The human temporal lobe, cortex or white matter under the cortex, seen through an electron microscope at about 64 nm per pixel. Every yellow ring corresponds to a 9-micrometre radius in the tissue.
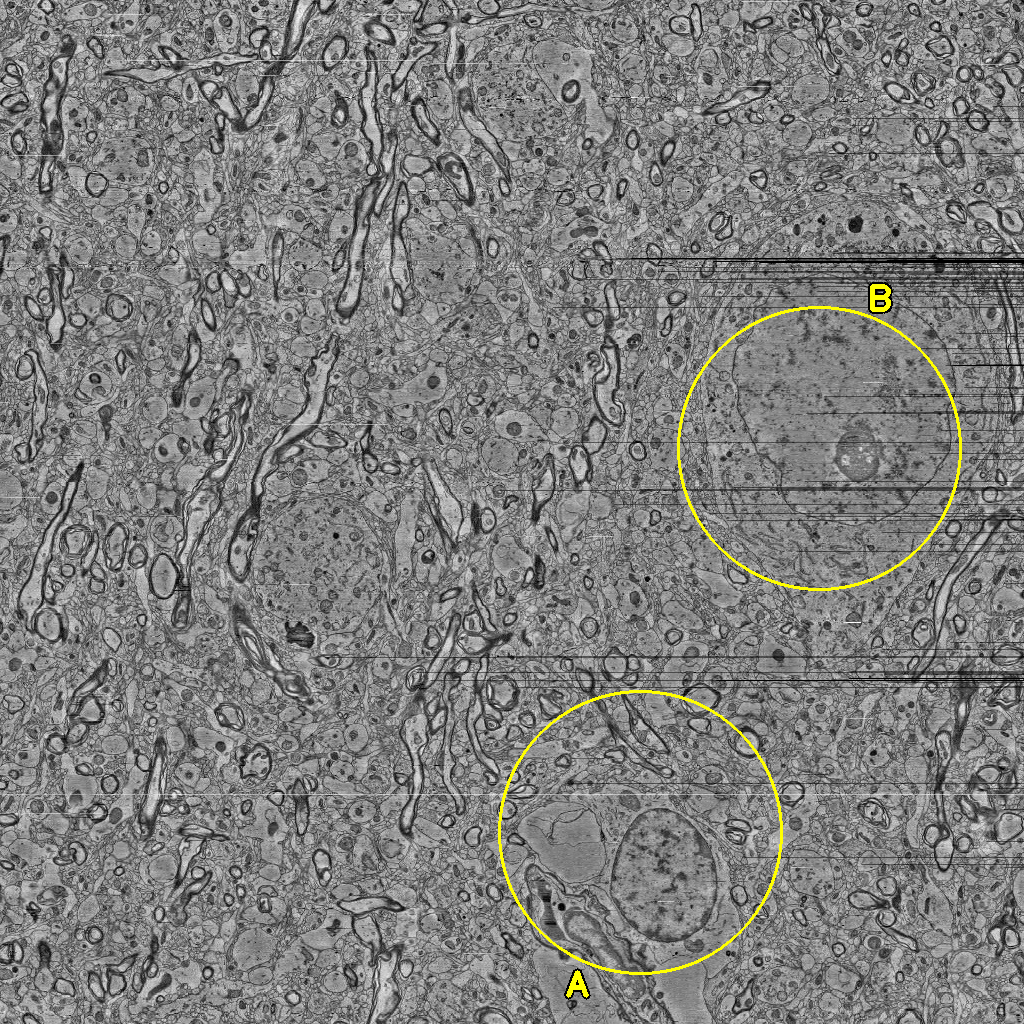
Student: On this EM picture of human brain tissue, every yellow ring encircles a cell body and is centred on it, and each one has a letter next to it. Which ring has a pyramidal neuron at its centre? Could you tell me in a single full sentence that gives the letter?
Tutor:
Ring B is the one drawn around the cell you are asking about.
